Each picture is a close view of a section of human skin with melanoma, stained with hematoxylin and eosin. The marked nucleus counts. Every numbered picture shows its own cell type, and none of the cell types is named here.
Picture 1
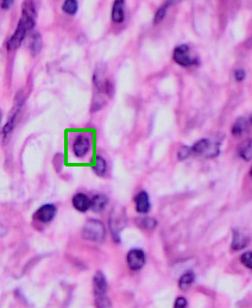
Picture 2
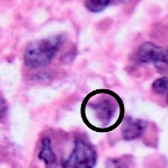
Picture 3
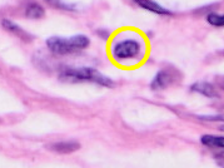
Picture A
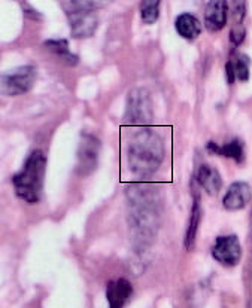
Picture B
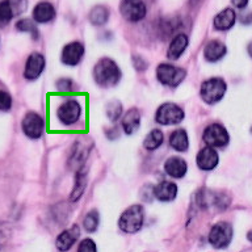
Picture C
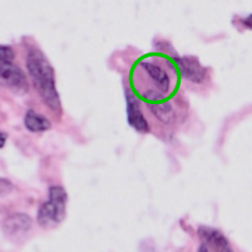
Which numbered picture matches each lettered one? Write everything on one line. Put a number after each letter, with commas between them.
A 2, B 3, C 2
